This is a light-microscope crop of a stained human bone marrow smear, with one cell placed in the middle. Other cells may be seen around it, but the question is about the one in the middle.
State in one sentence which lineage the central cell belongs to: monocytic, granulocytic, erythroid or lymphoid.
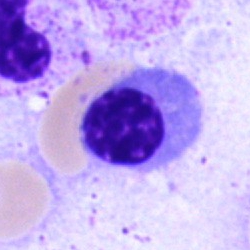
Classified by lineage, the middle cell is erythroid.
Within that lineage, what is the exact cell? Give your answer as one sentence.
The target cell in the middle of the crop is an erythroblast.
